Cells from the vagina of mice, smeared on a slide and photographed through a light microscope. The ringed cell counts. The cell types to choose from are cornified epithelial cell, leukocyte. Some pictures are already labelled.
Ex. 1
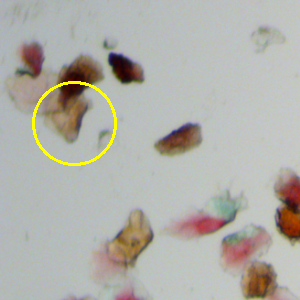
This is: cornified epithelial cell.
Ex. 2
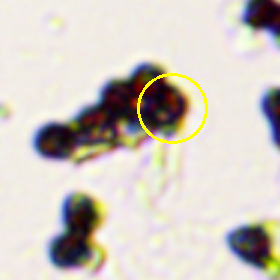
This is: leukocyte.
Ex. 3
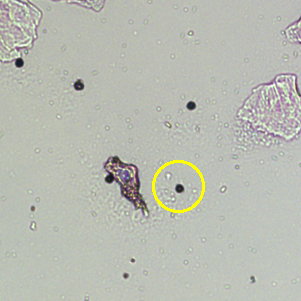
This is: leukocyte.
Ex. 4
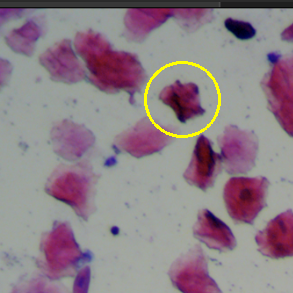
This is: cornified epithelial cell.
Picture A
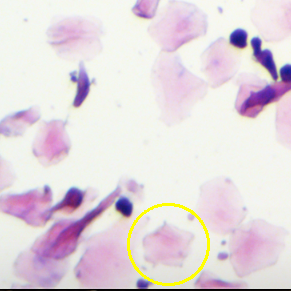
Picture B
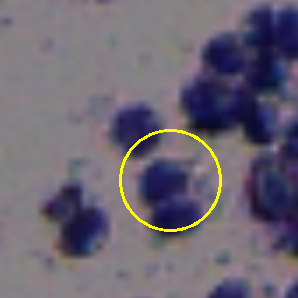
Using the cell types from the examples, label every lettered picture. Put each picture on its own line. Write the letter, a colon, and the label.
A: cornified epithelial cell.
B: leukocyte.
